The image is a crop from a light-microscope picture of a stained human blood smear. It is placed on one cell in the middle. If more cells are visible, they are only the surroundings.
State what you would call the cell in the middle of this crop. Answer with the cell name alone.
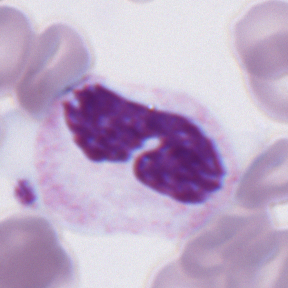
neutrophil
